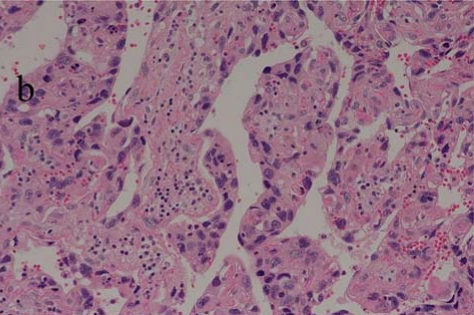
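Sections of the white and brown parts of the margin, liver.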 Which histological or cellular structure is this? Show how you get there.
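Tumor cells line irregular, branching slit-like channels. Red blood cells lie within the channel spaces. That points to this answer: arranged like sinusoidal vessels.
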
